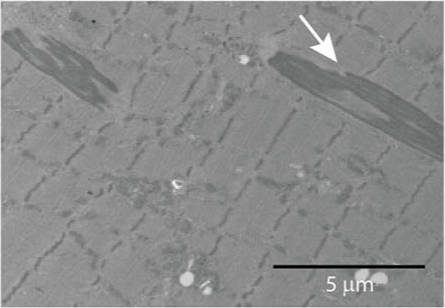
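This is skeletal muscle fibre cut lengthwise, and its myofibrils are interrupted by dense rods. The background shows regularly spaced dark transverse Z-lines crossing parallel myofibrils, with a few small pale round vacuoles or droplets scattered between them. Two elongated, spindle-shaped electron-dense bodies lie along the long axis of the myofibrils, one at upper left and a longer one at upper right. Their density resembles that of the Z-line material, and they displace the normal striated pattern where they lie. Such dark rod-shaped inclusions within the fibre are nemaline rods.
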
